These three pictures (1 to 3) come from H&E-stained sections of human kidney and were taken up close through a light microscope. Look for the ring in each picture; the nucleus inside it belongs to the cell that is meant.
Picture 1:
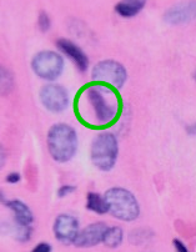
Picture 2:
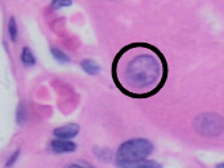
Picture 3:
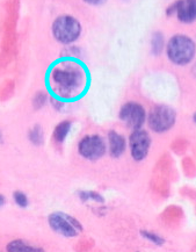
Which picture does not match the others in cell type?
2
